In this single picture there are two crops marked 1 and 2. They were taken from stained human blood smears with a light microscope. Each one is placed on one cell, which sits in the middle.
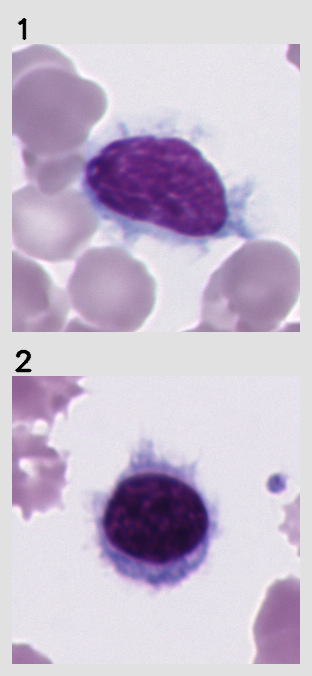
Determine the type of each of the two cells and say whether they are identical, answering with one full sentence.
Yes, hairy cells are the cells in the middle of both crops.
